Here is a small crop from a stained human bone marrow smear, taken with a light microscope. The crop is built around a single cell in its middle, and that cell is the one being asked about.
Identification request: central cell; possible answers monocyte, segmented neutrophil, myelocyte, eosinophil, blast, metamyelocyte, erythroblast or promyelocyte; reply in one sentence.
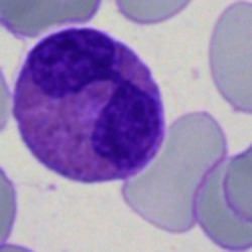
Regarding the central cell, it is an eosinophil.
